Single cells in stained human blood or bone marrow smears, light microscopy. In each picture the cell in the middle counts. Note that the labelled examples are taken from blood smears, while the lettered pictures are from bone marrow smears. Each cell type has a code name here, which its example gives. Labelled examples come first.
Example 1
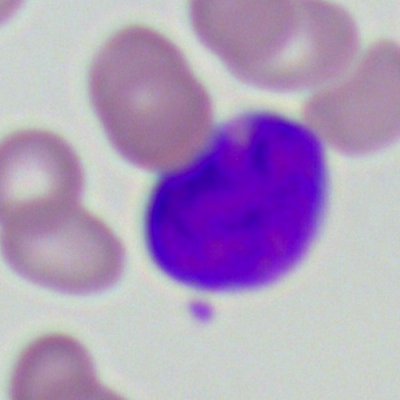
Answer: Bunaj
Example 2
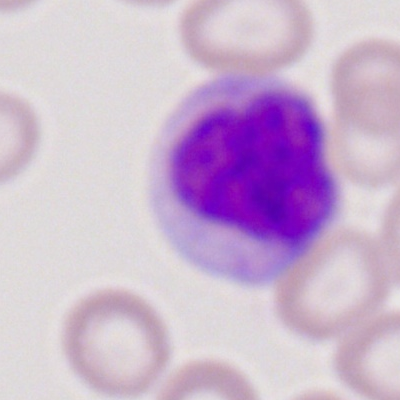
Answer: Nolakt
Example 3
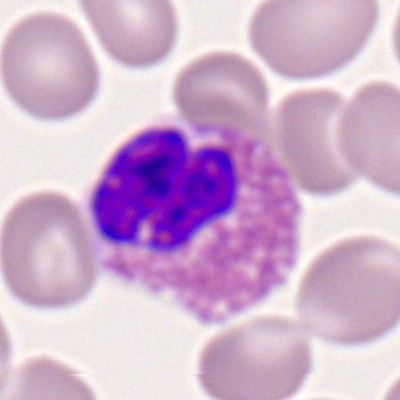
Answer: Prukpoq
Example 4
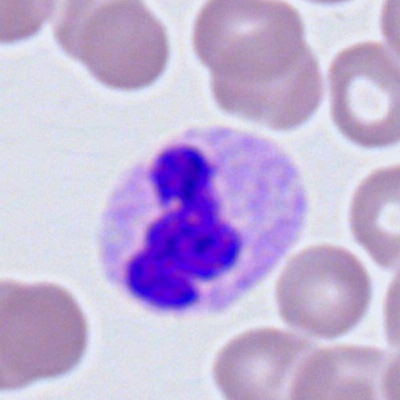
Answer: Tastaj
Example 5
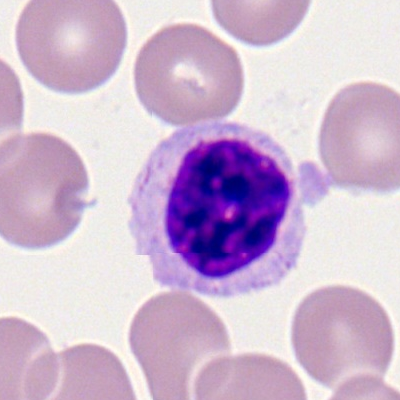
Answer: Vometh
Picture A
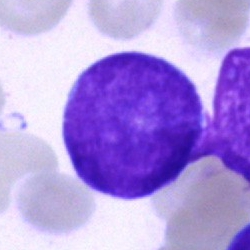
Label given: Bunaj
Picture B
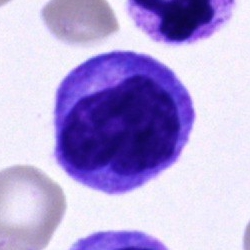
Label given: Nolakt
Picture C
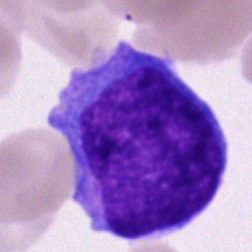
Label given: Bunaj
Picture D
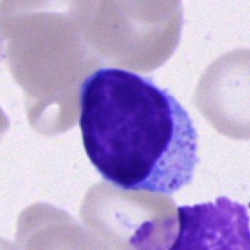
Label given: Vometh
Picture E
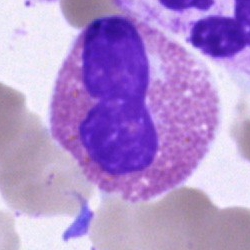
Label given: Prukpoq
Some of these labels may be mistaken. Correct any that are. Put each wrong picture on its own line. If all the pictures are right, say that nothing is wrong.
No label is wrong.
